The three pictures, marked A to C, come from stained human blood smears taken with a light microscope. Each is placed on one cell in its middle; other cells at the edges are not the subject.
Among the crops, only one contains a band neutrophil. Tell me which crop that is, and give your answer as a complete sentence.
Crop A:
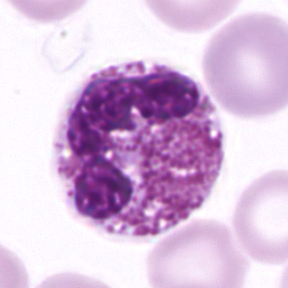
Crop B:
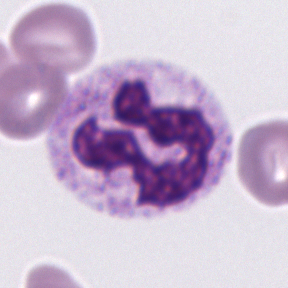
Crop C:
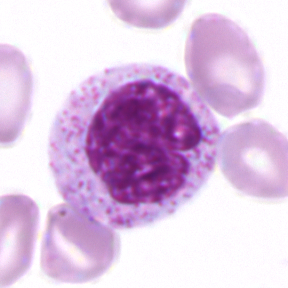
Within this set, crop C is the one with a band neutrophil at its center.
